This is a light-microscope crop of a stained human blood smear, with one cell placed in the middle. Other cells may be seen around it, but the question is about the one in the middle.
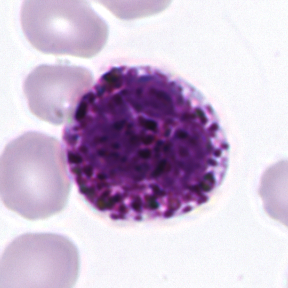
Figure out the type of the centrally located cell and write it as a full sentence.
The central element of this crop is a cell, namely a basophil.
